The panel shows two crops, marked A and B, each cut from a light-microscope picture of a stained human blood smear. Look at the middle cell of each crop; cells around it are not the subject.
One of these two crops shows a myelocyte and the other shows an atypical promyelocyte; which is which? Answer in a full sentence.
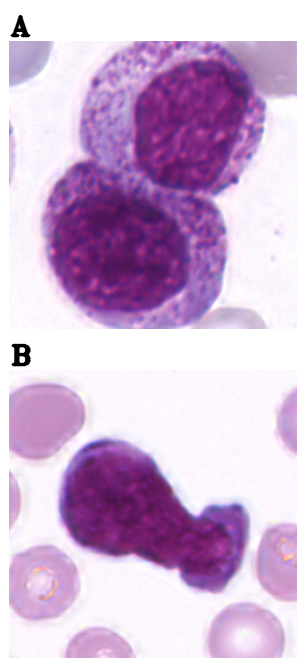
The cell at the centre of crop A is a myelocyte, and at the centre of crop B, an atypical promyelocyte.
